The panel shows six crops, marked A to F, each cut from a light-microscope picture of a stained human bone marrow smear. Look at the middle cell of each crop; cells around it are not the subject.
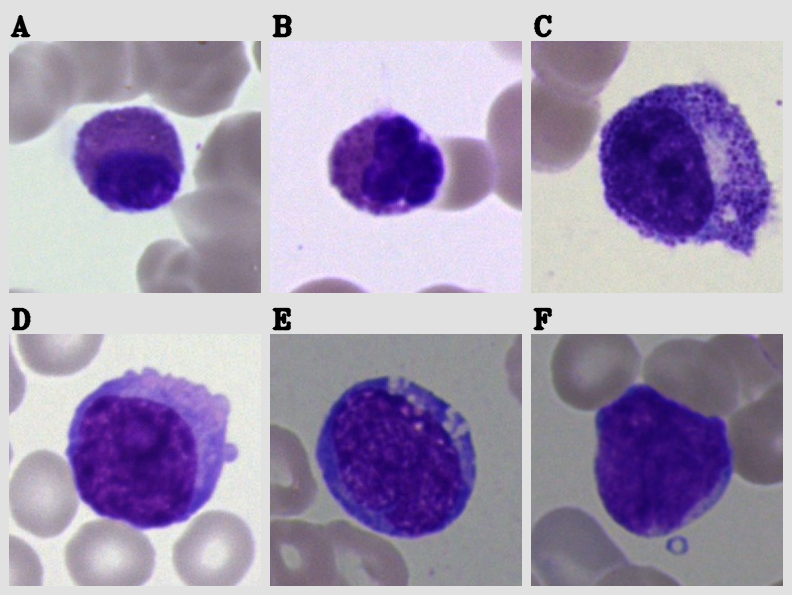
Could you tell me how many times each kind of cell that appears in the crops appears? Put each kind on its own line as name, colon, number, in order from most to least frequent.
blast: 3
eosinophil: 2
myelocyte: 1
